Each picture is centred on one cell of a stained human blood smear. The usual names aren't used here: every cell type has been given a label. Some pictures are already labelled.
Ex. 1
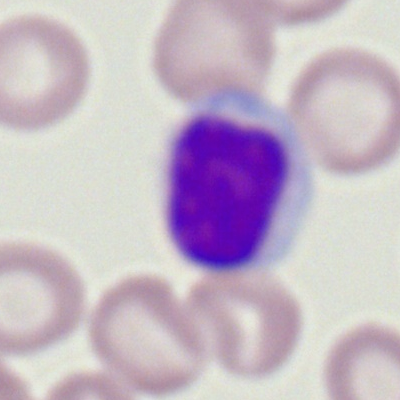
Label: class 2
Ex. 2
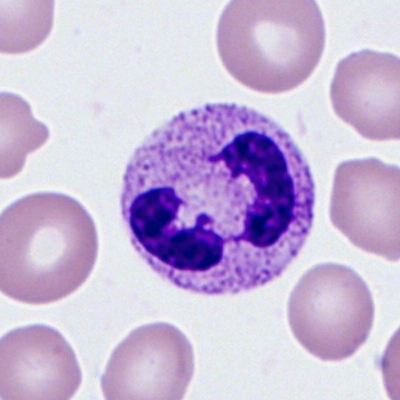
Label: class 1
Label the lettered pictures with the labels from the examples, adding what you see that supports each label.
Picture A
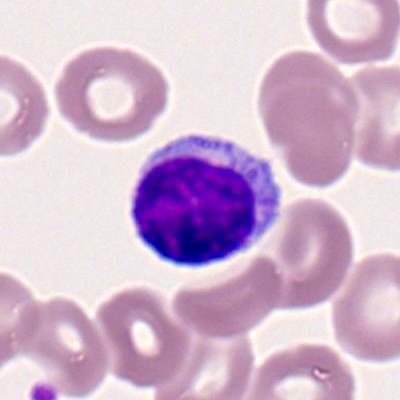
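Answer: class 2. The nucleus fills most of the cell.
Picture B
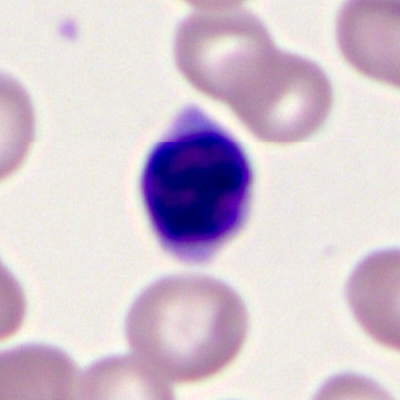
Answer: class 2. The nucleus fills most of the cell, leaving only scant cytoplasm.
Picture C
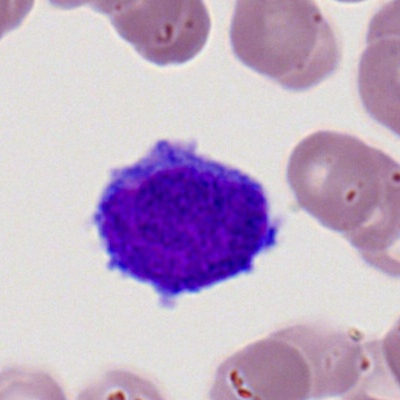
Answer: class 2. The nucleus fills most of the cell.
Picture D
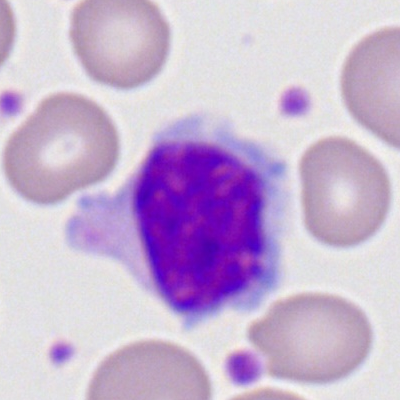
Answer: class 2. The nucleus fills most of the cell and lies toward its right side.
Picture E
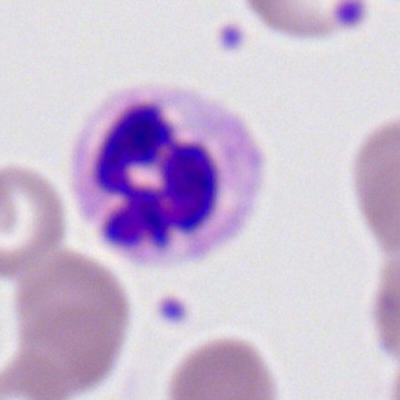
Answer: class 1. The cytoplasm is plentiful and pale pinkish-lilac.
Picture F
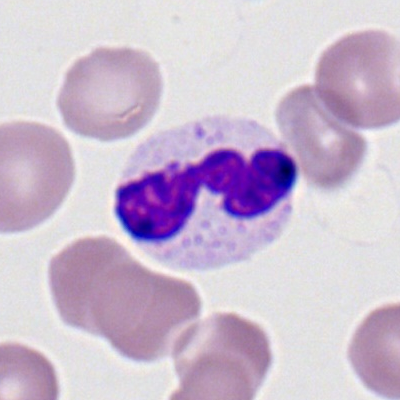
Answer: class 1. The cytoplasm is plentiful and pale pinkish-lilac.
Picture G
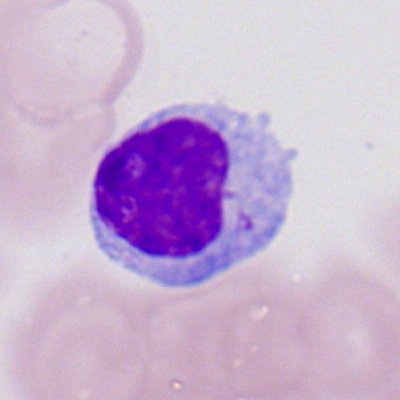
Answer: class 2. The nucleus has a notch on its right side, giving it a bean-like shape.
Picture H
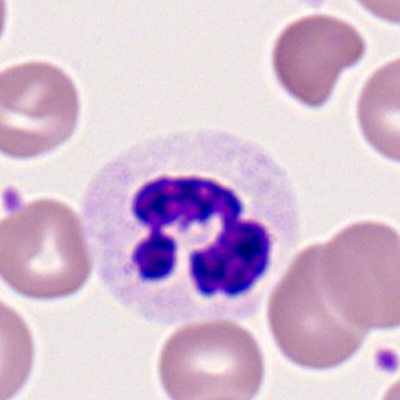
Answer: class 1. The nucleus is split into three lobes joined by narrow connections.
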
